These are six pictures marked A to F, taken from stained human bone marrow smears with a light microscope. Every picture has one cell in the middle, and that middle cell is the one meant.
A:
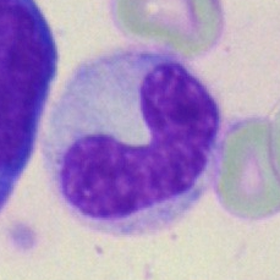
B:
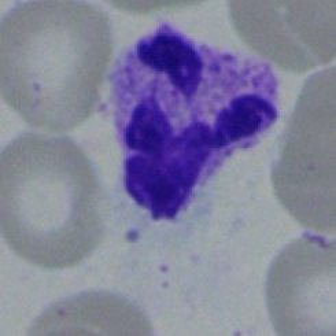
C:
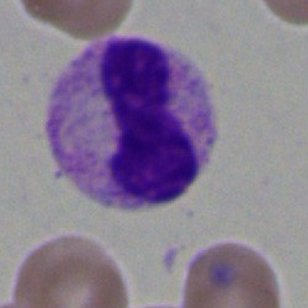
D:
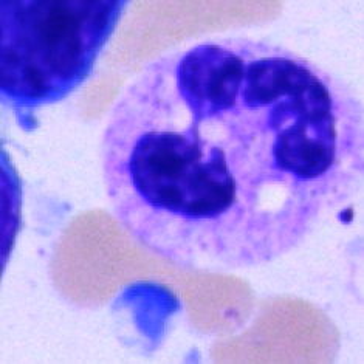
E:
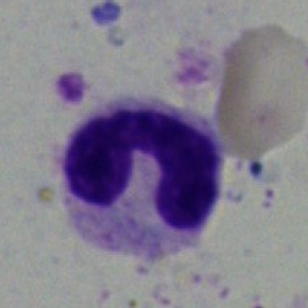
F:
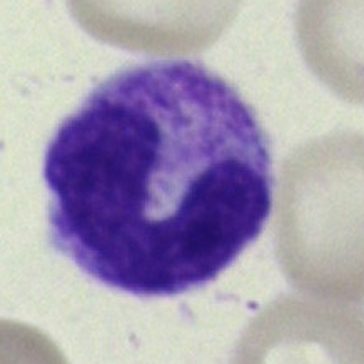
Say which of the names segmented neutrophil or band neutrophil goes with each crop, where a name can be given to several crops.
A: band neutrophil
B: segmented neutrophil
C: band neutrophil
D: segmented neutrophil
E: band neutrophil
F: band neutrophil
